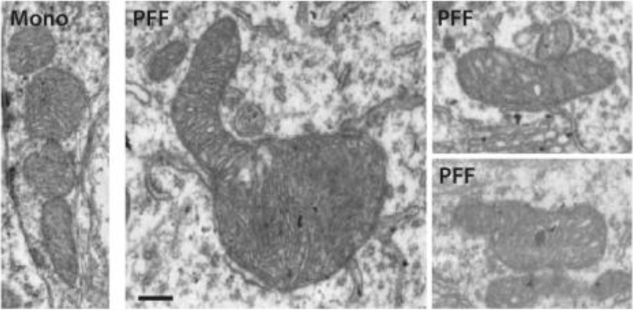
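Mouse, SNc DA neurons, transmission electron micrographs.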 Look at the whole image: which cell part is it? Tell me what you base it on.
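Mitochondria. Membrane-bound organelles with internal cristae. One organelle is greatly enlarged compared with the small ones at left.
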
